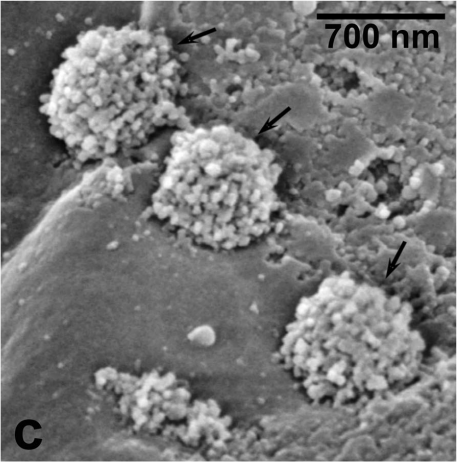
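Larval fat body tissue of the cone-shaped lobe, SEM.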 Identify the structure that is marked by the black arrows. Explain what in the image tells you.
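Rounded clusters built of many small knobby particles. Clusters sit on a smoother fractured surface.
Hence: broccoli-like rosettes.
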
